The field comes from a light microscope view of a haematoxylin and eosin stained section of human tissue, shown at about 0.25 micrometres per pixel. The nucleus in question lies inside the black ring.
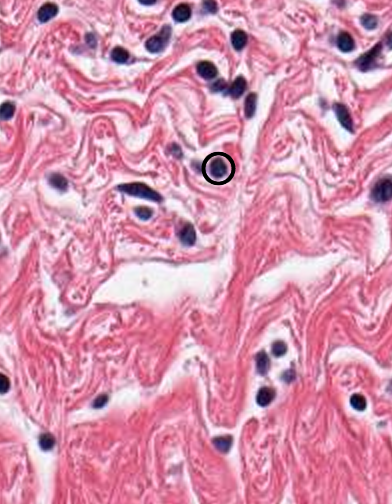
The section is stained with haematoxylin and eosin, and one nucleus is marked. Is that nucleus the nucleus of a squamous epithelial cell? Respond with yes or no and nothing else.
no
